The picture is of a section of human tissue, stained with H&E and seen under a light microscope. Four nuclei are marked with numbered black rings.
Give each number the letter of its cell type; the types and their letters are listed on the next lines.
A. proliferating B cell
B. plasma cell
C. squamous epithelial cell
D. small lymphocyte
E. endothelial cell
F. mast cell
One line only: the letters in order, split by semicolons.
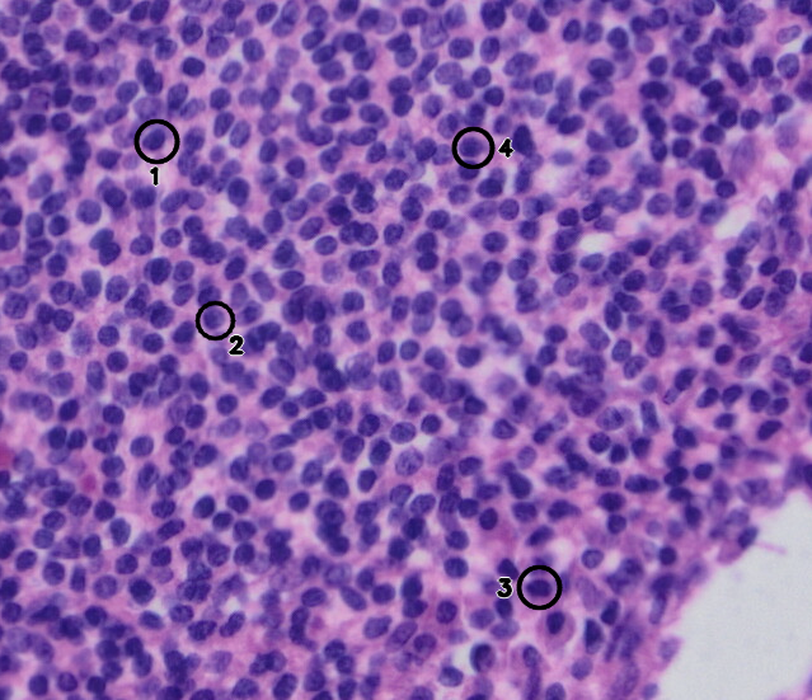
D; D; B; D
